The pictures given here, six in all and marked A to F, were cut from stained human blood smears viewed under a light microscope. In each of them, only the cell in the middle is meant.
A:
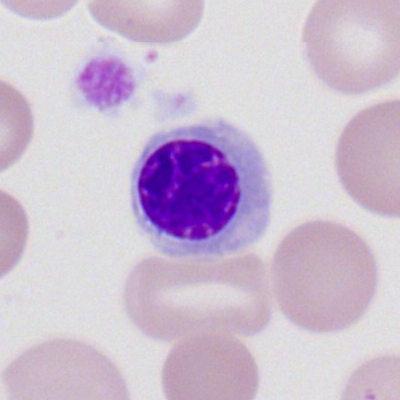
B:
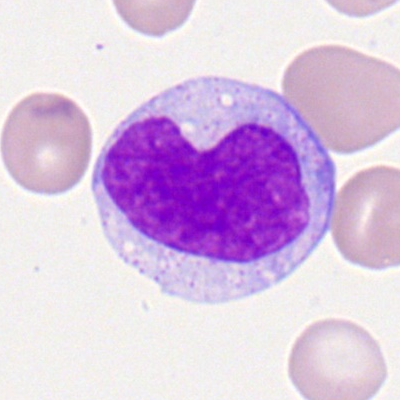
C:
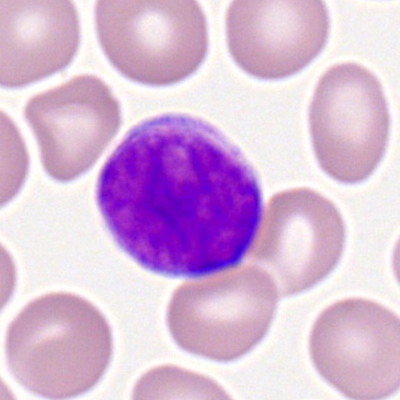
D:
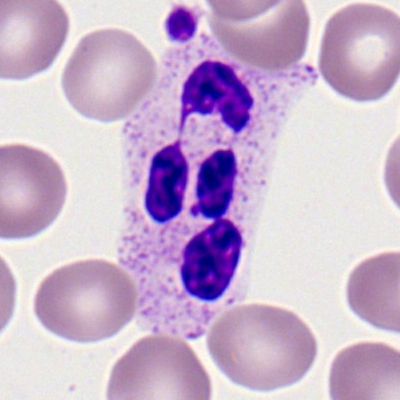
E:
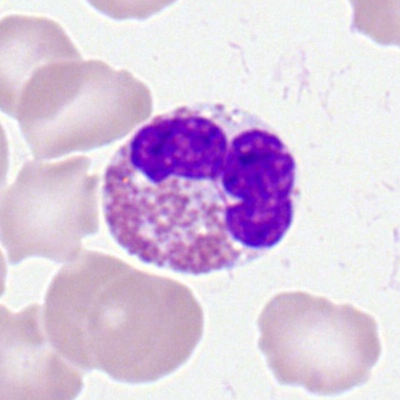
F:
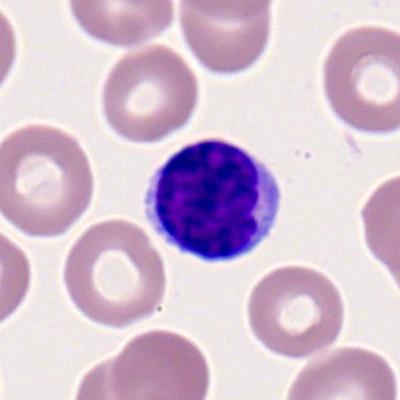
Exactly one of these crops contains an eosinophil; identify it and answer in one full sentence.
Crop E represents an eosinophil, while the other crops do not.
